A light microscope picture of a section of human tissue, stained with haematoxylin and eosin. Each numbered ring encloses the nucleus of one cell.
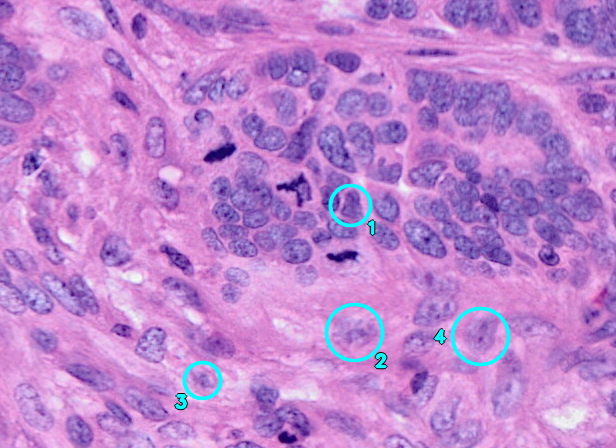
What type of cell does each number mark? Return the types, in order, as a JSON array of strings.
["carcinoma cell", "fibroblast", "fibroblast", "fibroblast"]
